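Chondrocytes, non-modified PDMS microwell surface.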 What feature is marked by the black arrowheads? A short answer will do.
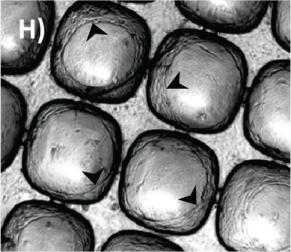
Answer: Cell layers.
